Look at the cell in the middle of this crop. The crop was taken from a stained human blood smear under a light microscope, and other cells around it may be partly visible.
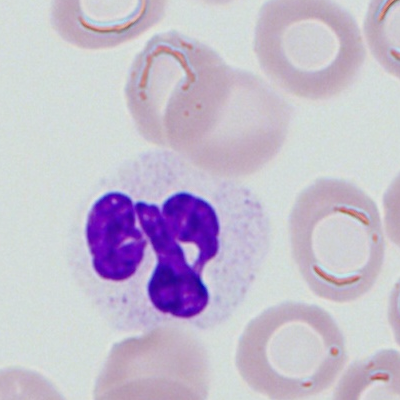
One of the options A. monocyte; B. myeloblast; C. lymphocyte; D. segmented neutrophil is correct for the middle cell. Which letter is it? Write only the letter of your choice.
D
